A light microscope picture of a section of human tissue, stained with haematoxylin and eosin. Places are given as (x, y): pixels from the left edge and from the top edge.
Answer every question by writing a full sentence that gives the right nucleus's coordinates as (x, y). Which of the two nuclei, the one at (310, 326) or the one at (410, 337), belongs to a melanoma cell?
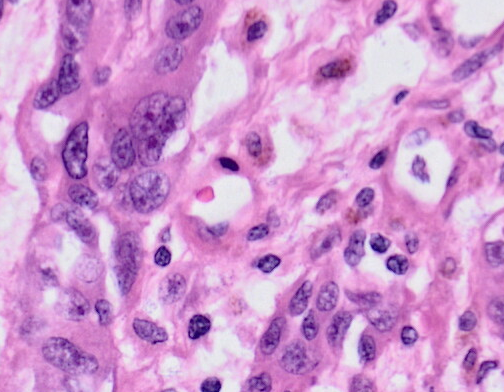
The nucleus at (310, 326) is contained in a melanoma cell.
